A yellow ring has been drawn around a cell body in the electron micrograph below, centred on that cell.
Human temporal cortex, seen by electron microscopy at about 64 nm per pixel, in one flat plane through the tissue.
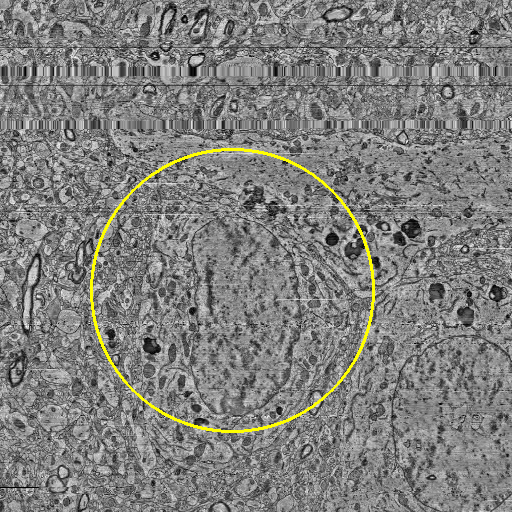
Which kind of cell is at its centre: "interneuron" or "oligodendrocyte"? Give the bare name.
interneuron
